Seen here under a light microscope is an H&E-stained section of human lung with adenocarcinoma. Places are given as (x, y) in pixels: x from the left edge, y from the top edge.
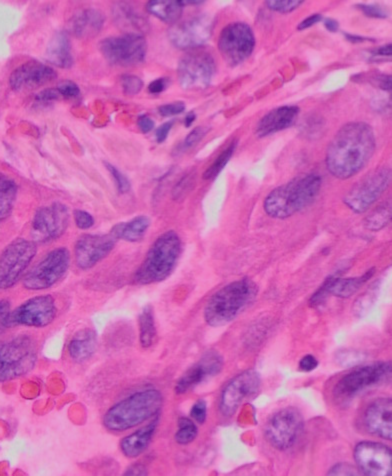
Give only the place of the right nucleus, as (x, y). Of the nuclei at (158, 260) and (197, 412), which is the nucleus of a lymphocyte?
(197, 412)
